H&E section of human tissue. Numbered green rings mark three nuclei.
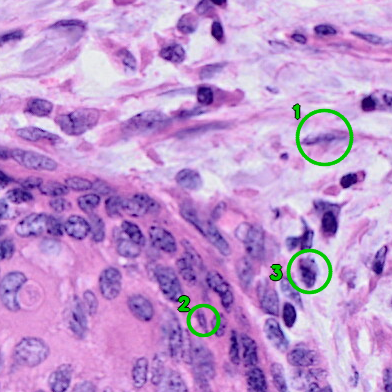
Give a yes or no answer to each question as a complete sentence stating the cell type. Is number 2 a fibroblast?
No, the cell given the number 2 is a squamous carcinoma cell, so not a fibroblast.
